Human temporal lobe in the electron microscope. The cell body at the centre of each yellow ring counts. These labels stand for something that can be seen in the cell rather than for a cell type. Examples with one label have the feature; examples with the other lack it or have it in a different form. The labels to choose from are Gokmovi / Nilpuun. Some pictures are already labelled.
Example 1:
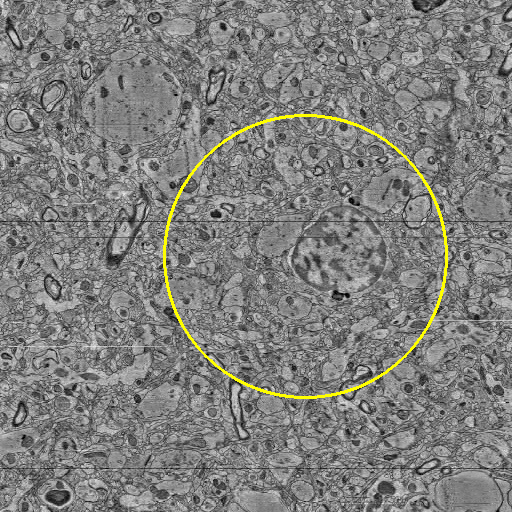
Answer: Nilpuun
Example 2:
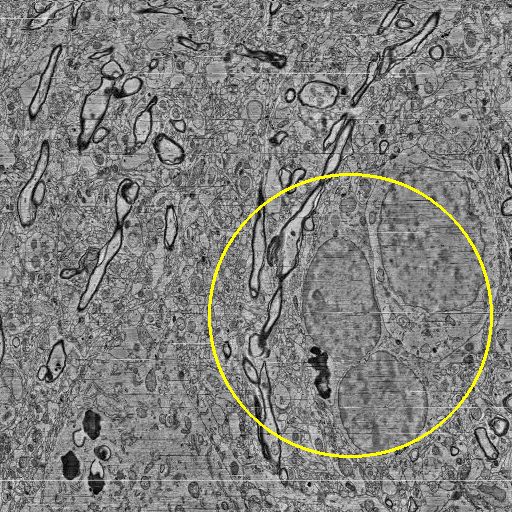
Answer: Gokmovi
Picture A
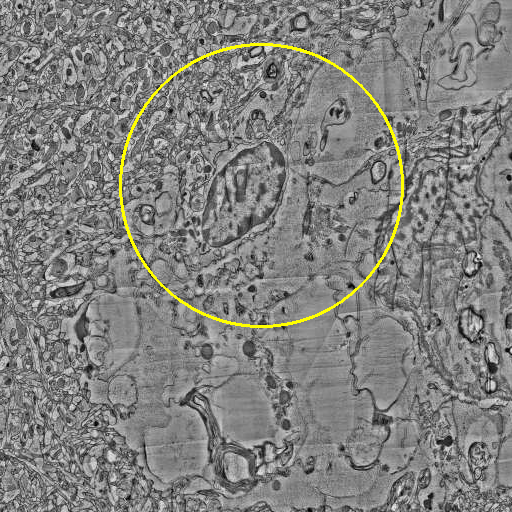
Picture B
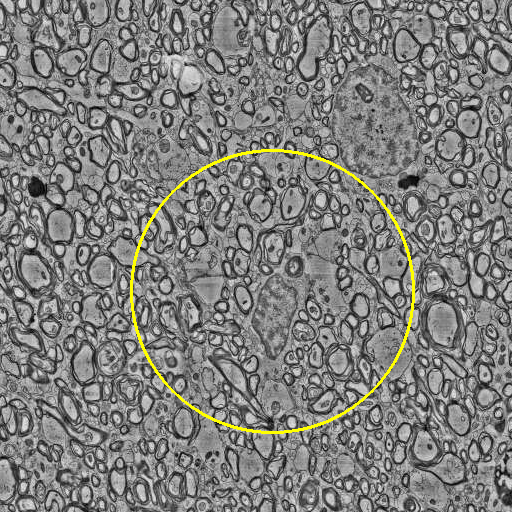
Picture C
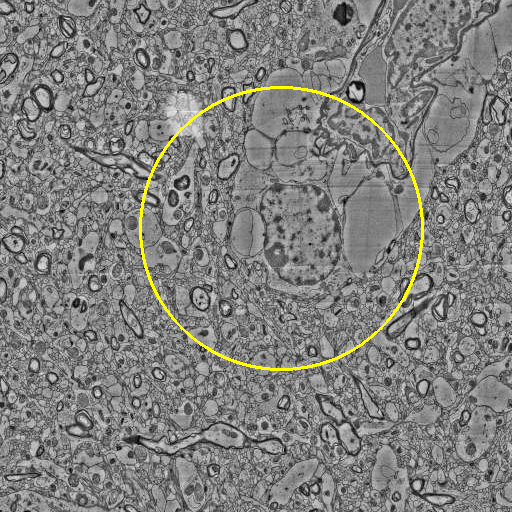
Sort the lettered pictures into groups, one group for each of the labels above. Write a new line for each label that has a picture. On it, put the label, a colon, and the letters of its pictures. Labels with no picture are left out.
Gokmovi: A, B
Nilpuun: C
